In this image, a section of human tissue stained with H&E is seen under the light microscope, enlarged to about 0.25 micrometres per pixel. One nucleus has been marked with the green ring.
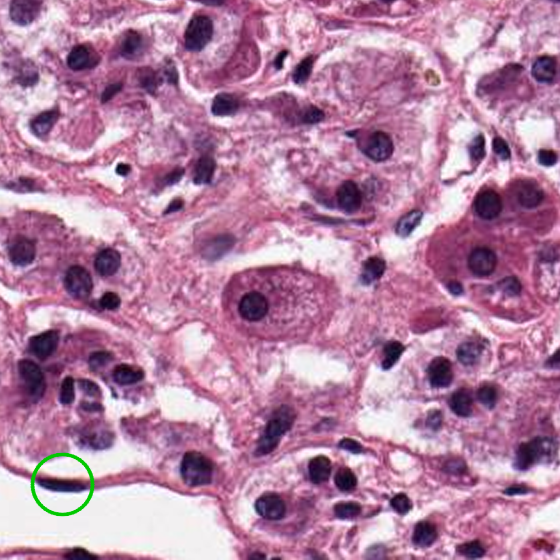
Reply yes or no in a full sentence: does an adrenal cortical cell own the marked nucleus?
No, the marked nucleus resides in a supporting cell, not in an adrenal cortical cell.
